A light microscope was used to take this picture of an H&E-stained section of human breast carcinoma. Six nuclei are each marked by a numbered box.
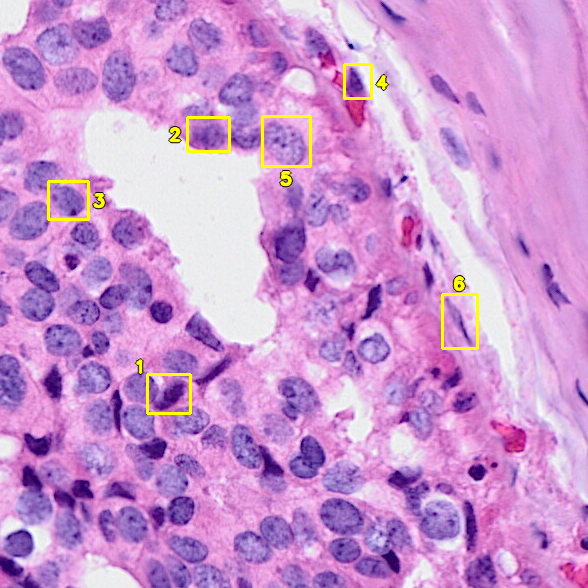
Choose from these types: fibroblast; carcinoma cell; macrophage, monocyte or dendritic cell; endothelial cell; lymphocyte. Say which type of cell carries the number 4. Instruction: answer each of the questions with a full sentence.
The cell that is numbered 4 is an endothelial cell.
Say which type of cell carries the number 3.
In the tissue shown, cell 3 is a carcinoma cell.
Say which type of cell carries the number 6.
Marked with the number 6, this cell is a fibroblast.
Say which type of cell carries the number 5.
The cell carrying label 5 is identified as a carcinoma cell.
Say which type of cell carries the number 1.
The marked nucleus 1 is that of a carcinoma cell.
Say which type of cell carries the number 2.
Cell 2, as marked in the section, is a carcinoma cell.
